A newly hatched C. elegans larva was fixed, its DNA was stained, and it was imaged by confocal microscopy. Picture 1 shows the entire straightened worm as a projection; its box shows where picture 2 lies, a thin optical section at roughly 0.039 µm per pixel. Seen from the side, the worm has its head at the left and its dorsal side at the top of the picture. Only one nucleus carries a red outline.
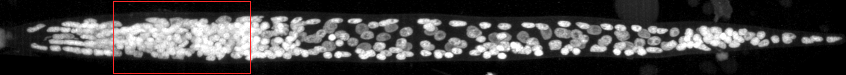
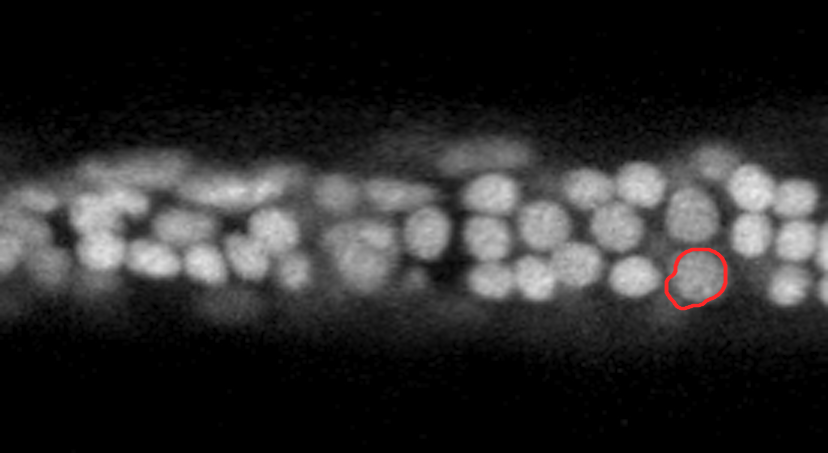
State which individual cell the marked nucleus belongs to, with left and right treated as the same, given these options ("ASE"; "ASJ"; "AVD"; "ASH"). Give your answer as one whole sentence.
The cell whose nucleus is marked is ASJ, a neuron.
